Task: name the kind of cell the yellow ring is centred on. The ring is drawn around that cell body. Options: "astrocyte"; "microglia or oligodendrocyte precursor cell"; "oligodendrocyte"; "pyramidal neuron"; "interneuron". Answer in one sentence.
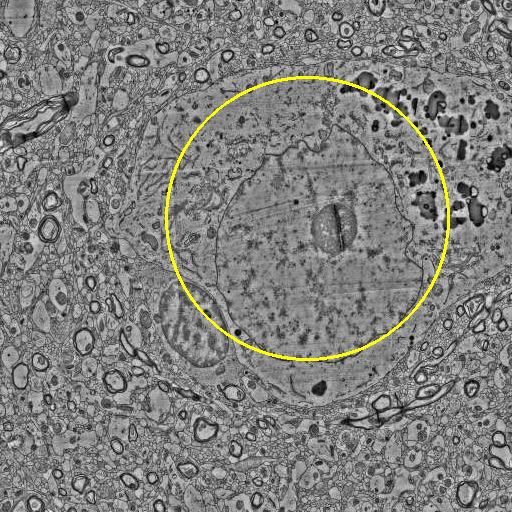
This cell body belongs to a pyramidal neuron.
